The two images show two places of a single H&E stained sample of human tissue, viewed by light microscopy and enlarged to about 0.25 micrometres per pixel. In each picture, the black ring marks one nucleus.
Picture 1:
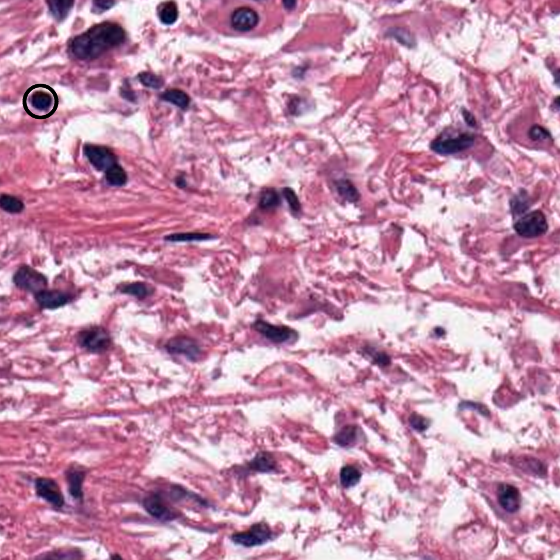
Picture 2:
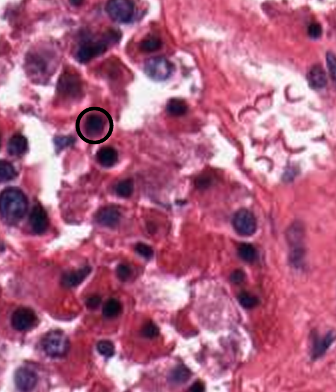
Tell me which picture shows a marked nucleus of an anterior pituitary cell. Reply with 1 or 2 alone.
2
